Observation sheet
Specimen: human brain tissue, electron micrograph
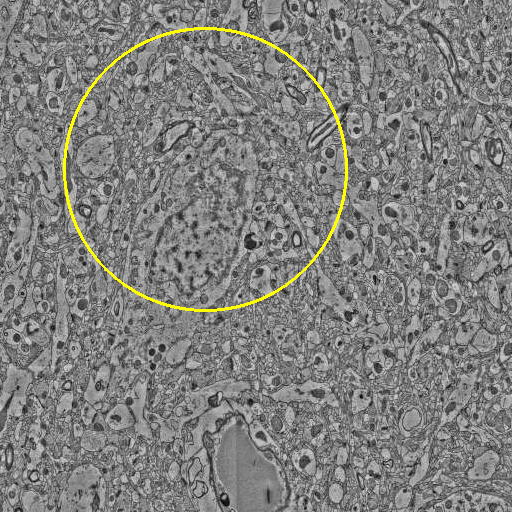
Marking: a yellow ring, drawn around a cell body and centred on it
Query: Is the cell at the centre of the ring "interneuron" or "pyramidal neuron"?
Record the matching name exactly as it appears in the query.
interneuron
